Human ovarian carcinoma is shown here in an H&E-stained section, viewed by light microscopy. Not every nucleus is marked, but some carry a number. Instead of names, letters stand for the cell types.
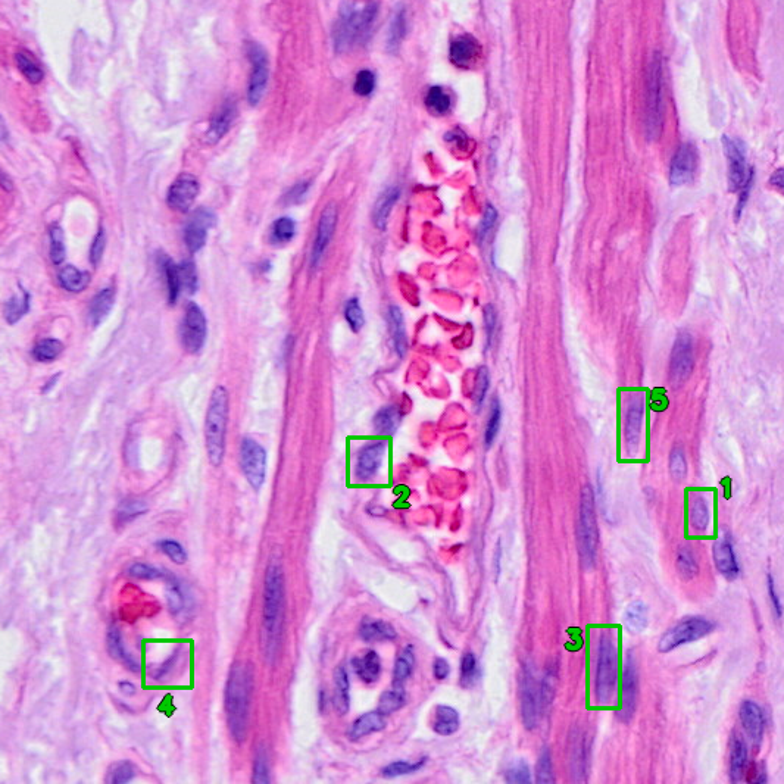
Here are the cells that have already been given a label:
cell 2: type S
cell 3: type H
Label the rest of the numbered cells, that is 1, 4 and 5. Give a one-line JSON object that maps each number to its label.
{"1": "type H", "4": "type S", "5": "type H"}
